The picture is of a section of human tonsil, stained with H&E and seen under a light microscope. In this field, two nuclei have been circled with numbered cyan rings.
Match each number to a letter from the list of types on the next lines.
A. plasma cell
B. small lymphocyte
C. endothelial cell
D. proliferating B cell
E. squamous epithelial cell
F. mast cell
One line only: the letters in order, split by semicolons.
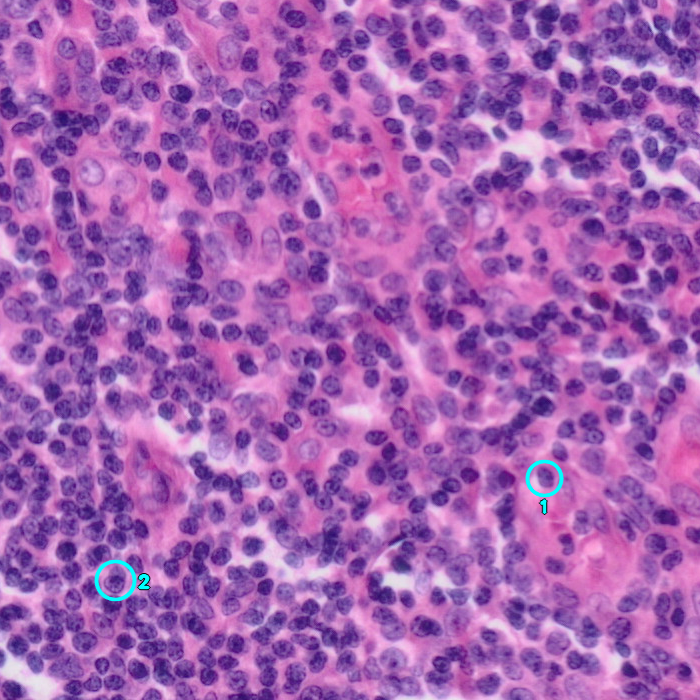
C; B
